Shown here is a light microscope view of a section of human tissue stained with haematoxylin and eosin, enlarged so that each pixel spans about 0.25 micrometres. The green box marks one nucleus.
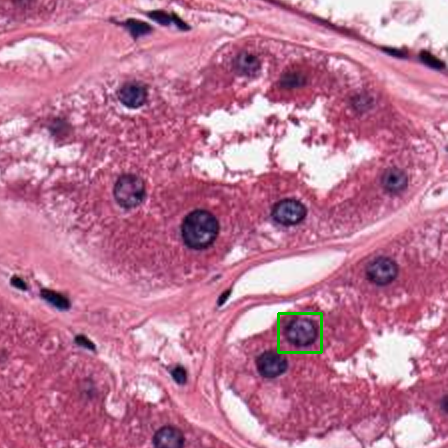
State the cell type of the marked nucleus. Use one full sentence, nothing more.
The marked nucleus is seen to belong to a proximal tubule cell.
